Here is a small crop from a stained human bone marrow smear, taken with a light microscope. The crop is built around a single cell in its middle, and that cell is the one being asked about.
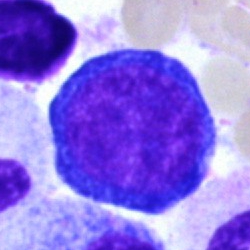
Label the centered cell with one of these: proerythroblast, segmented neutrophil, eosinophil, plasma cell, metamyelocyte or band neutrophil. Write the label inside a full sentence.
The cell in the middle of this crop is a proerythroblast.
